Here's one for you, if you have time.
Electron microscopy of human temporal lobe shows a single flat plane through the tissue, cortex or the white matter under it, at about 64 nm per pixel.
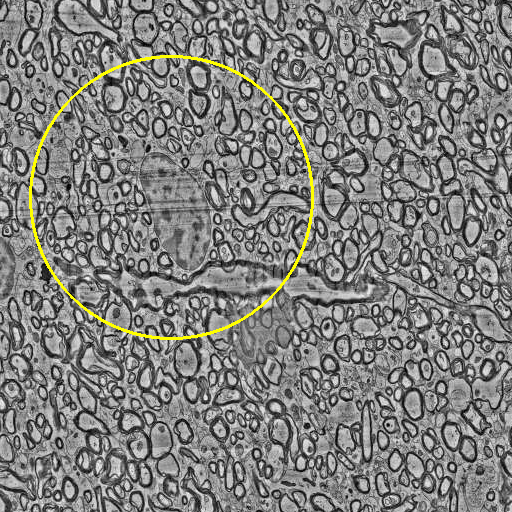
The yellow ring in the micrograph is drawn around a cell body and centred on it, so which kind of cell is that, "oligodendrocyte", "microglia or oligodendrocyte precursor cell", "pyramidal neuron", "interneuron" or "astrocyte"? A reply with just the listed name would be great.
microglia or oligodendrocyte precursor cell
